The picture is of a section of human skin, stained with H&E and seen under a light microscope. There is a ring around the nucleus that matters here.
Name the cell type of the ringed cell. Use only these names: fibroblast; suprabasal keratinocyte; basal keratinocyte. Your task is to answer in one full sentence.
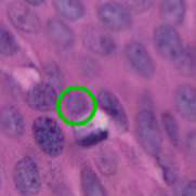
To be brief about it, the ringed cell is a basal keratinocyte.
